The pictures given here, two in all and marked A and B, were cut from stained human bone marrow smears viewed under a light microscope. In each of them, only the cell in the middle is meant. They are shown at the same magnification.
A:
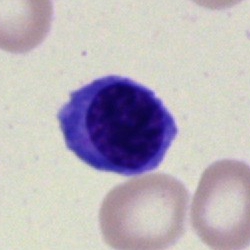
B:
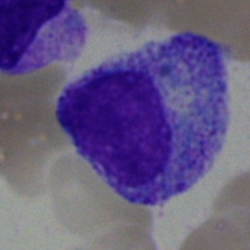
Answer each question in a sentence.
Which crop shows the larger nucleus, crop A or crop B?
The nucleus in crop B is larger, with about 2 times the area of the one in crop A.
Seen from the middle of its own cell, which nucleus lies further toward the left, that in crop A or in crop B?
Seen within its cell, the nucleus in crop B lies further toward the left.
